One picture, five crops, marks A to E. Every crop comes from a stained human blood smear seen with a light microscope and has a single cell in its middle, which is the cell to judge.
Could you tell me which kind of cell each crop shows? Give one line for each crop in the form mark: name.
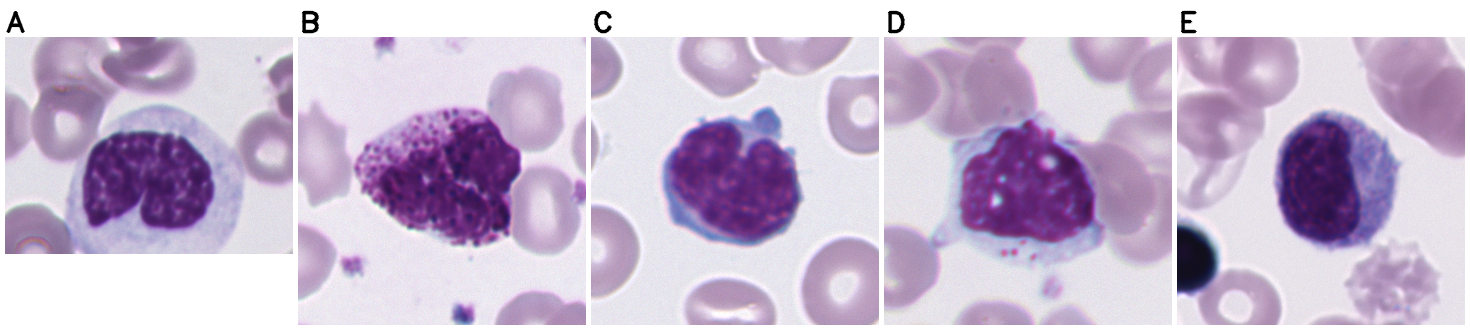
A: band neutrophil
B: basophil
C: myeloblast
D: large granular lymphocyte
E: normoblast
